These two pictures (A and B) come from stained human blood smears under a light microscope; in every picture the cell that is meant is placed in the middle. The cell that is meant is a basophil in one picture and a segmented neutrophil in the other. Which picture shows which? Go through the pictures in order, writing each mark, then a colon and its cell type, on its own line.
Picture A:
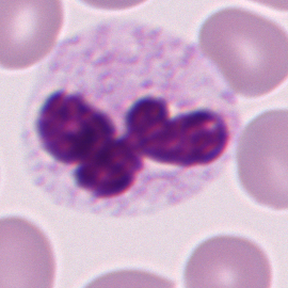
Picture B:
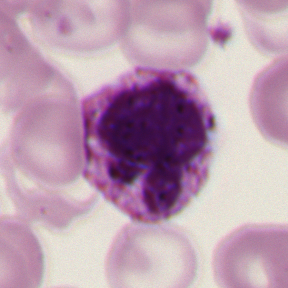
A: segmented neutrophil
B: basophil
